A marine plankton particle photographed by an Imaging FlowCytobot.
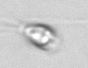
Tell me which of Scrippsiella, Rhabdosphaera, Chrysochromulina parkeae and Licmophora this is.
The picture shows Chrysochromulina parkeae.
